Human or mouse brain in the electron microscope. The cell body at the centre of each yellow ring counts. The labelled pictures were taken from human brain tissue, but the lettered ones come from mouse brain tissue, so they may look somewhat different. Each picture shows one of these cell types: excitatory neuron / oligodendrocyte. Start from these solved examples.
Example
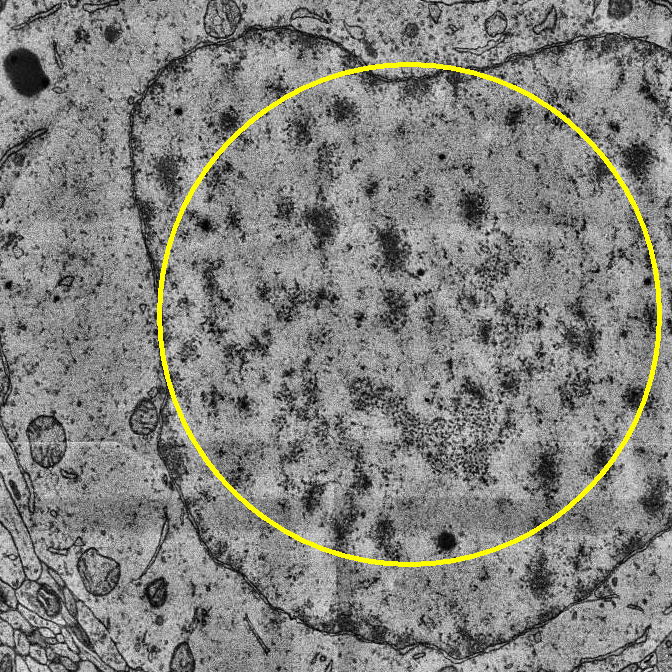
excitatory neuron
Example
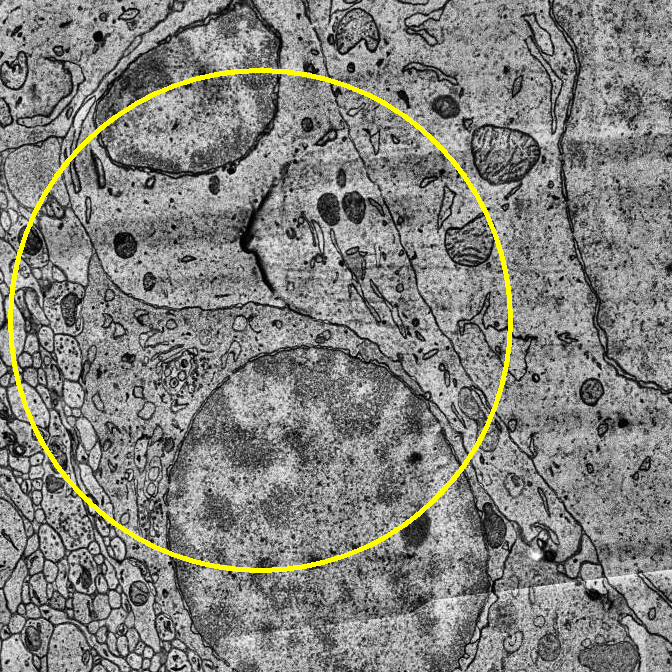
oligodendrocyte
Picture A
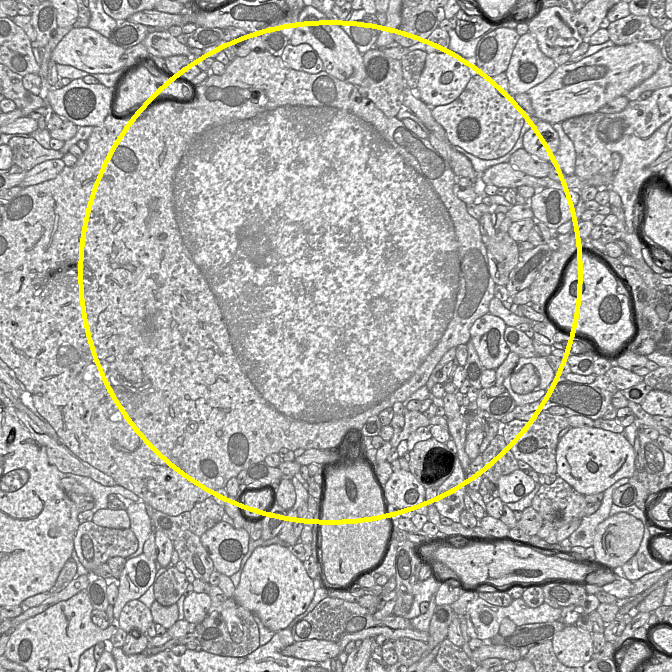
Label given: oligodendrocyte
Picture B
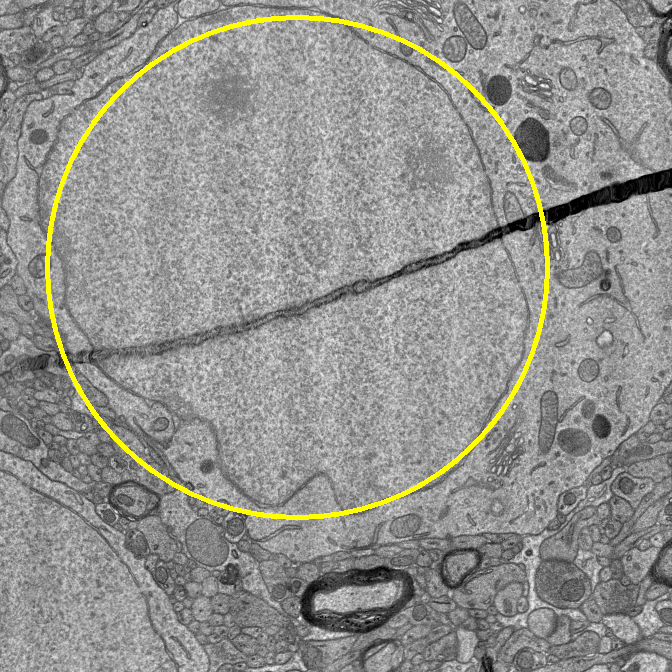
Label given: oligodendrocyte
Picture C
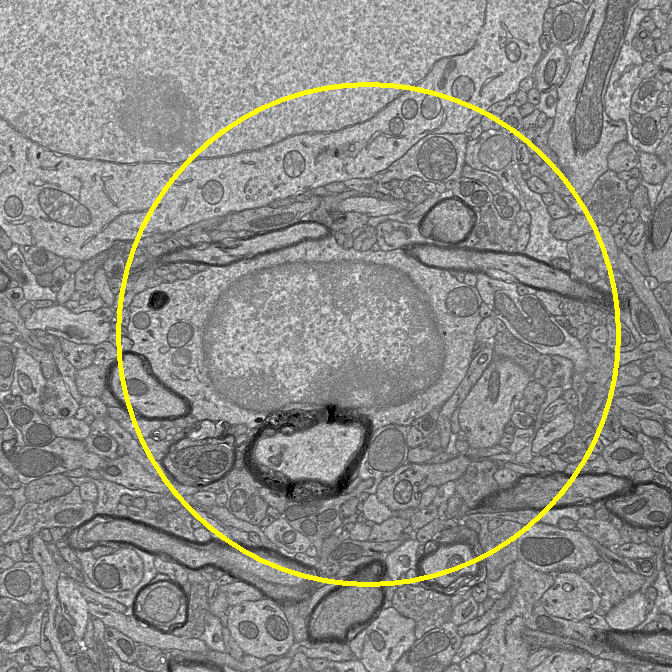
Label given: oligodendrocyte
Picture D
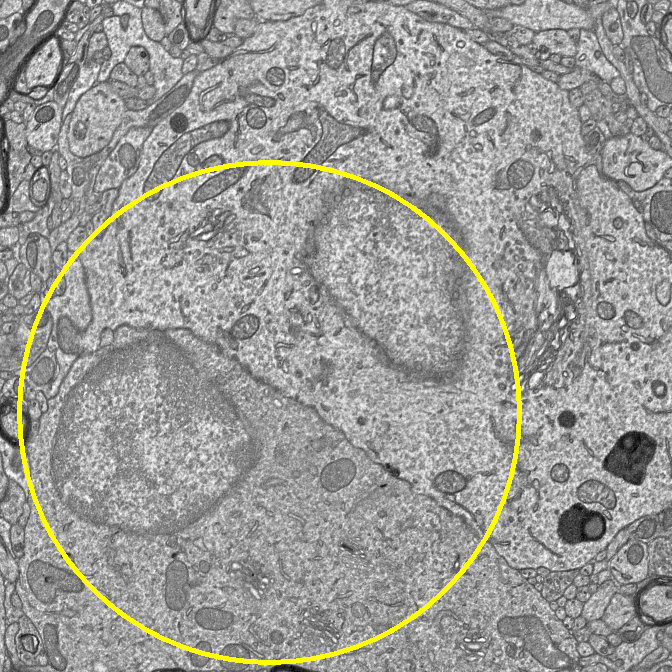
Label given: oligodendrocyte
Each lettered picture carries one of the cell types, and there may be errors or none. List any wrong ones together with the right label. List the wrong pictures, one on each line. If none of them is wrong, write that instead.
B should be excitatory neuron, not oligodendrocyte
